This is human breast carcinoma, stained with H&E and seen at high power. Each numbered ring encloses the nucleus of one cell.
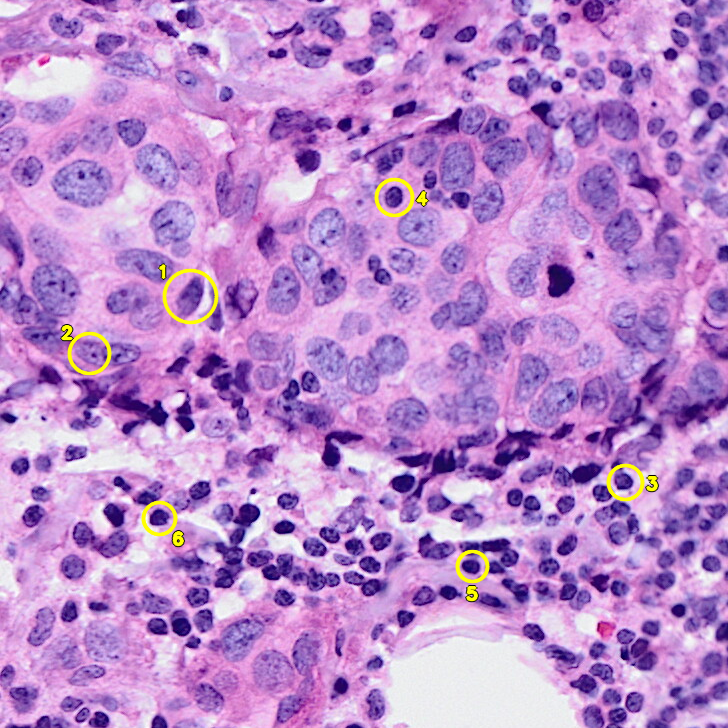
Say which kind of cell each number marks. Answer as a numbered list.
1. carcinoma cell
2. carcinoma cell
3. lymphocyte
4. lymphocyte
5. lymphocyte
6. lymphocyte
